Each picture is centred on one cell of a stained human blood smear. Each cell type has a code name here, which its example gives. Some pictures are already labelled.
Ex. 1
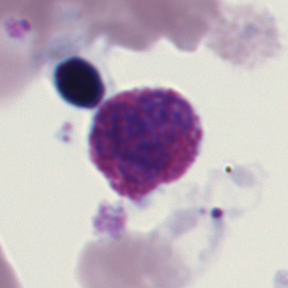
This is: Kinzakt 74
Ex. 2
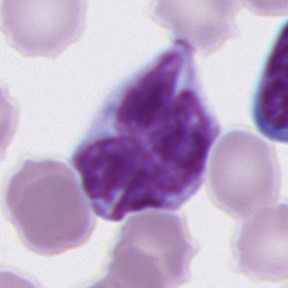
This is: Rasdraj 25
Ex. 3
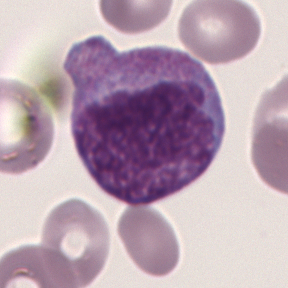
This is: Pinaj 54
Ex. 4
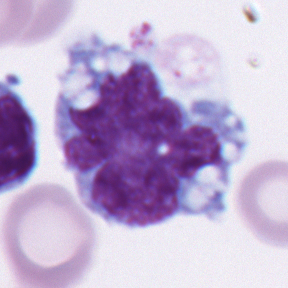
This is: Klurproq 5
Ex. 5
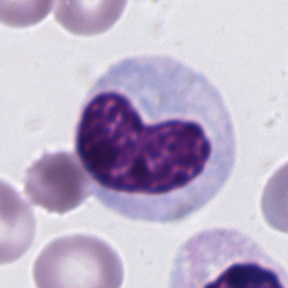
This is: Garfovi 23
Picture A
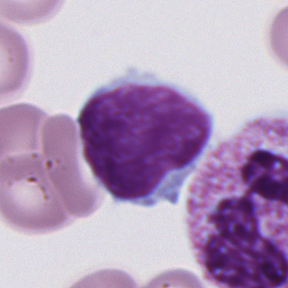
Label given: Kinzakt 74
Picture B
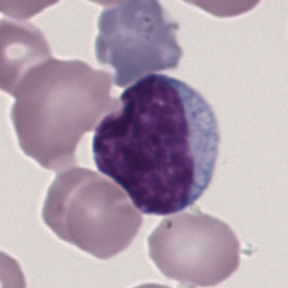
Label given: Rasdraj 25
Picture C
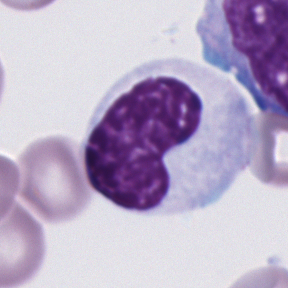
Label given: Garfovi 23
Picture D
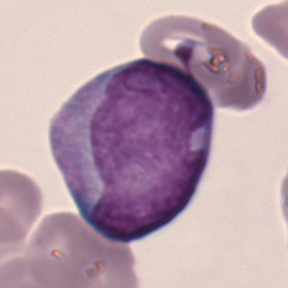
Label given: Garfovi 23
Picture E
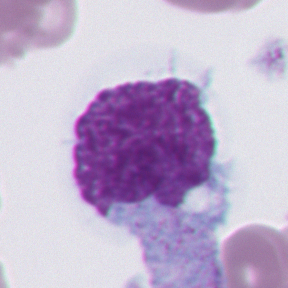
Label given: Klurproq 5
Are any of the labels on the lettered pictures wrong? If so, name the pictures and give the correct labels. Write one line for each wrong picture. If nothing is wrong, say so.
A: change Kinzakt 74 to Rasdraj 25
D: change Garfovi 23 to Pinaj 54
